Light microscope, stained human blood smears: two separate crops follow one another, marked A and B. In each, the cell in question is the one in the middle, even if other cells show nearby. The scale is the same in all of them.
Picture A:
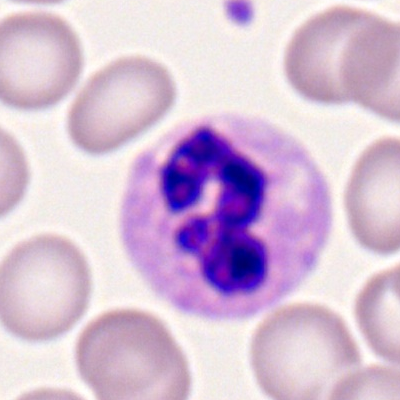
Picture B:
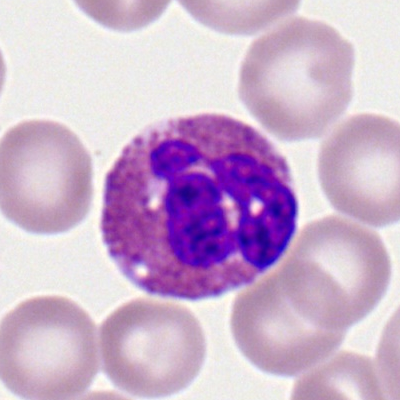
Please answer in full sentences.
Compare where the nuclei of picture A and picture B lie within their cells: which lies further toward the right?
It is the nucleus in picture B that lies further toward the right of its cell.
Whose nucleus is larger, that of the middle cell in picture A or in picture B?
It is the nucleus in picture B, about 1.5 times as large in area as the one in picture A.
